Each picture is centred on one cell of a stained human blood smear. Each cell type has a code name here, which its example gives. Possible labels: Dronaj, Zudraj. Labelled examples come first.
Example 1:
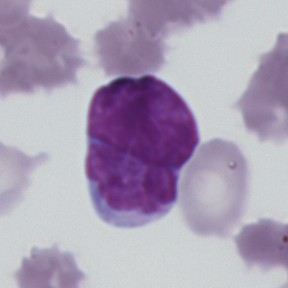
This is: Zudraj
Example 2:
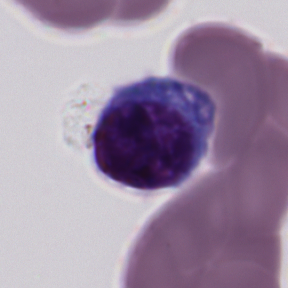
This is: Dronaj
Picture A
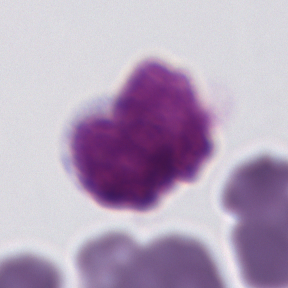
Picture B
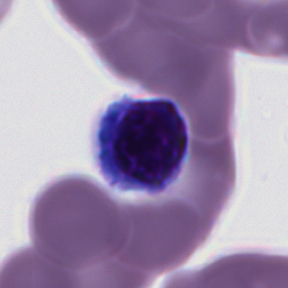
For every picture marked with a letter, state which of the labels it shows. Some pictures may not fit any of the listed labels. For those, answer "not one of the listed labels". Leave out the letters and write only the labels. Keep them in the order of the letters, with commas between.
not one of the listed labels, Dronaj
